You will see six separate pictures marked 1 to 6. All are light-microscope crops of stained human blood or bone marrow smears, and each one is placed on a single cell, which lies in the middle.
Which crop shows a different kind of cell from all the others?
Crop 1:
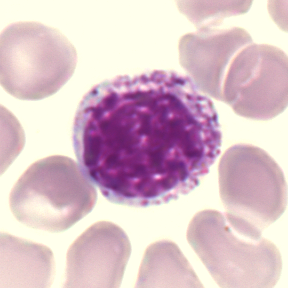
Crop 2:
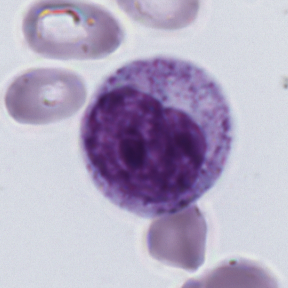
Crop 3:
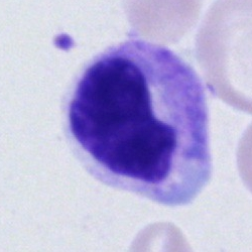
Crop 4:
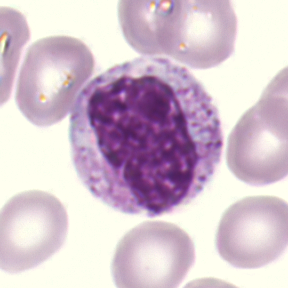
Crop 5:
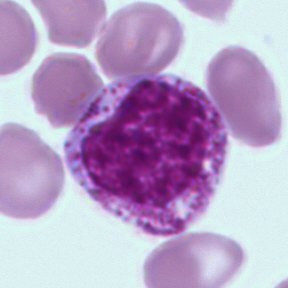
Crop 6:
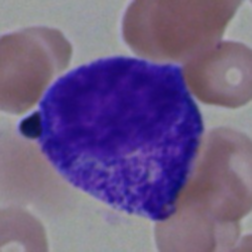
6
